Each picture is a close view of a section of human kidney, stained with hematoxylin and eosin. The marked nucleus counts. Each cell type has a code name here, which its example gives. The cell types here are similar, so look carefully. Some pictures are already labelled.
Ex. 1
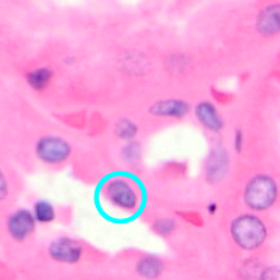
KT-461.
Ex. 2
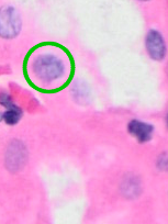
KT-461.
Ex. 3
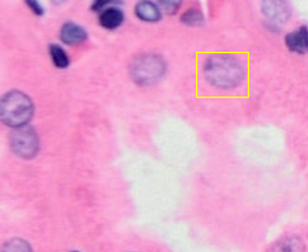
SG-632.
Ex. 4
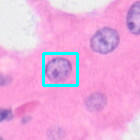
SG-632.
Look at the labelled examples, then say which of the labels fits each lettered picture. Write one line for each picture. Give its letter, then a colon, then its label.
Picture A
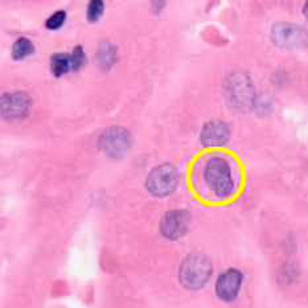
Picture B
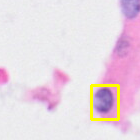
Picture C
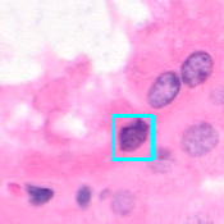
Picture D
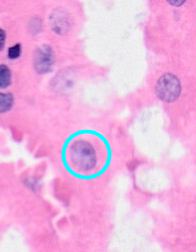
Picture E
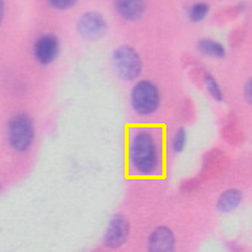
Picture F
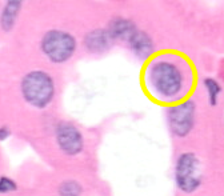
A: SG-632.
B: KT-461.
C: SG-632.
D: SG-632.
E: KT-461.
F: KT-461.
